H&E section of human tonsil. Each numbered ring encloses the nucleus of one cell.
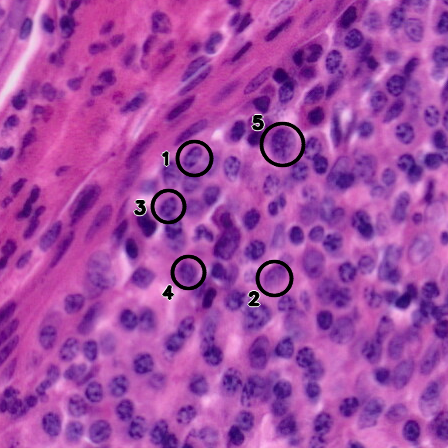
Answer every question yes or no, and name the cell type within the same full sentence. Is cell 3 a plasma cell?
Yes, the cell with its nucleus marked 3 is a plasma cell.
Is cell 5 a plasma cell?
No, the cell bearing number 5 is not a plasma cell but a squamous epithelial cell.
